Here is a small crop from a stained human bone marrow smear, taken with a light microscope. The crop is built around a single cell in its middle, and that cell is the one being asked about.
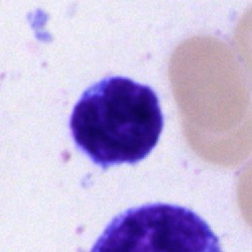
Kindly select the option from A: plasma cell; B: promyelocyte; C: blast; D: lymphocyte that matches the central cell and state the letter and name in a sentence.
The cell in the middle is a lymphocyte, and that makes option D correct.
